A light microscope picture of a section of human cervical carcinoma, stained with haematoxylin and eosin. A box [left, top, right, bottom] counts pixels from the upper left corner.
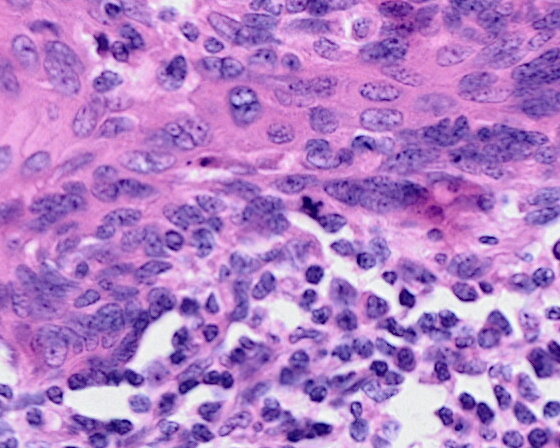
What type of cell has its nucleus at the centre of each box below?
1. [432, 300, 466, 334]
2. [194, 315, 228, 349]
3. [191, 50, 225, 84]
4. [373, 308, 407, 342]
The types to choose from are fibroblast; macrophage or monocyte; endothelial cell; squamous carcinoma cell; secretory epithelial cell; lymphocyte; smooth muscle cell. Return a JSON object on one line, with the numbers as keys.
{"1": "lymphocyte", "2": "lymphocyte", "3": "squamous carcinoma cell", "4": "lymphocyte"}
